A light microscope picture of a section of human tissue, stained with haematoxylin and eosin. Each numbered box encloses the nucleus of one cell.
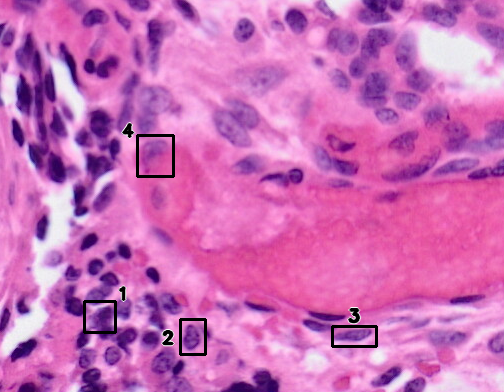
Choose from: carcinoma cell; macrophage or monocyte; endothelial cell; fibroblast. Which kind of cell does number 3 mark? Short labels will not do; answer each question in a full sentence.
In the tissue shown, cell 3 is a fibroblast.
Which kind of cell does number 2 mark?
The identity of cell 2 is that of a macrophage or monocyte.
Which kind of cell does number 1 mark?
It is as a carcinoma cell that the cell numbered 1 is identified.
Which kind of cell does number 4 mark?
Here, the cell given the number 4 is a fibroblast.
